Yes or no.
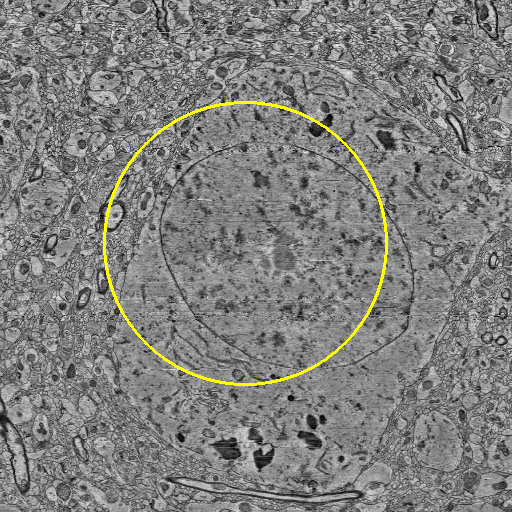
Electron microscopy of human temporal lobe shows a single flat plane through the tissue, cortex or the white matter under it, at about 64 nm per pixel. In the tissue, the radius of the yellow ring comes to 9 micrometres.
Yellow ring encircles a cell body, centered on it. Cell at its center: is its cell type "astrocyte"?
no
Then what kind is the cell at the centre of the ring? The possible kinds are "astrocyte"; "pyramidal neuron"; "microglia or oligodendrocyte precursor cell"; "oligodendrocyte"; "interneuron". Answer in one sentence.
The cell marked by the ring is a pyramidal neuron.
